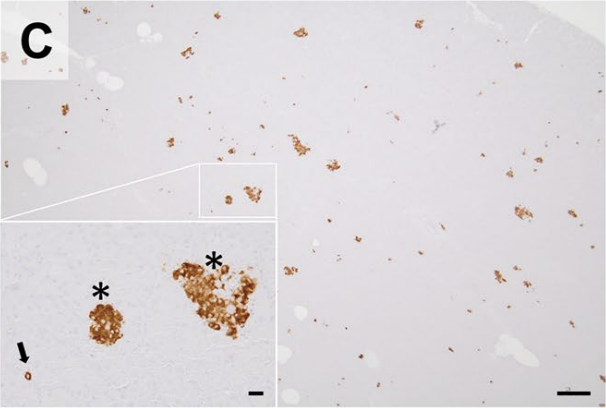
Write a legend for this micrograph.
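At low power, most brown clusters are small and many are irregular in shape. There are also scattered pale, empty-looking rounded spaces. The inset enlarges two clusters of brown cells forming islets; one is compact and rounded, the other larger and more loosely lobed.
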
